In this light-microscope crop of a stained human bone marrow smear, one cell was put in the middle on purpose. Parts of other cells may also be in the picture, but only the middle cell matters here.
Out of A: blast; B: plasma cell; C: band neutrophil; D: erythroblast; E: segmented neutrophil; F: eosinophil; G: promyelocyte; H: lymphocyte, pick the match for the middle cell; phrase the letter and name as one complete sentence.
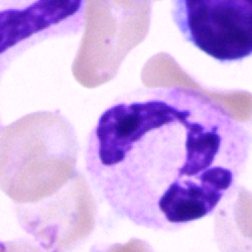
The correct choice is option E, which identifies the middle cell as a segmented neutrophil.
